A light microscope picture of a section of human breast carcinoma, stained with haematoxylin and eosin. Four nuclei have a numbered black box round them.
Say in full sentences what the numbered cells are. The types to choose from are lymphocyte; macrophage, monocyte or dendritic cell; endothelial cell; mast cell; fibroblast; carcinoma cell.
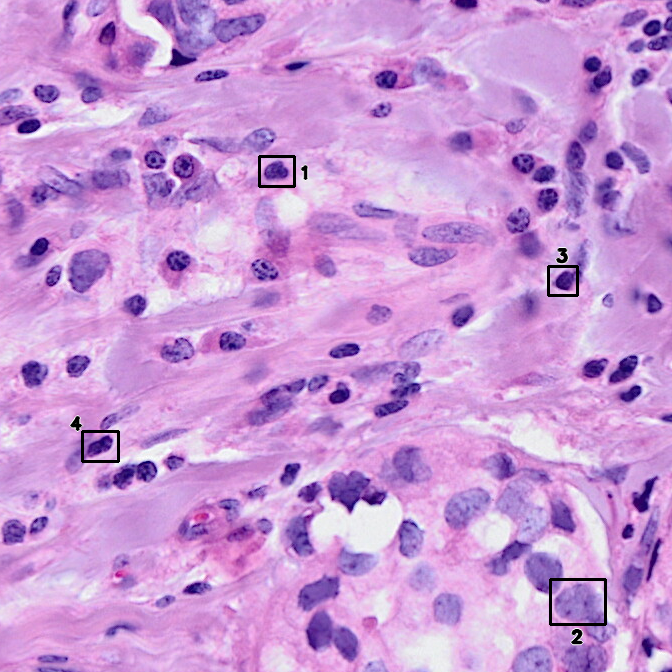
Cell 1 is a lymphocyte, cell 2 is a carcinoma cell, cell 3 is a lymphocyte and cell 4 is a lymphocyte.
